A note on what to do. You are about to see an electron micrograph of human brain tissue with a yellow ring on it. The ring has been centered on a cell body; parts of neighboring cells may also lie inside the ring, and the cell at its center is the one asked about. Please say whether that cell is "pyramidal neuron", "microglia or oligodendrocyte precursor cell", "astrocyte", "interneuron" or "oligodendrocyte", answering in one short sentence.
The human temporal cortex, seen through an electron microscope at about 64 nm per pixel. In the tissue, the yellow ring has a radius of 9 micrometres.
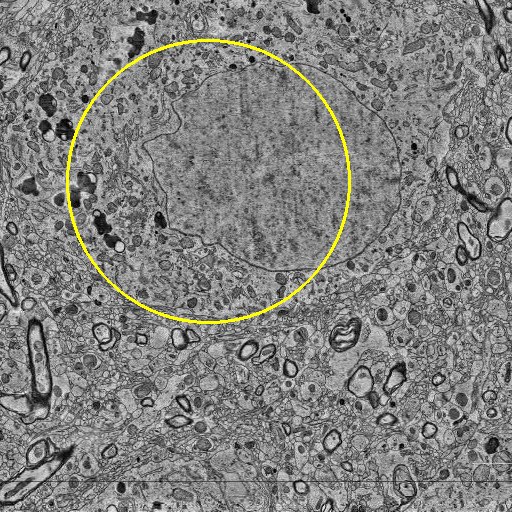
The yellow ring sits on a pyramidal neuron.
